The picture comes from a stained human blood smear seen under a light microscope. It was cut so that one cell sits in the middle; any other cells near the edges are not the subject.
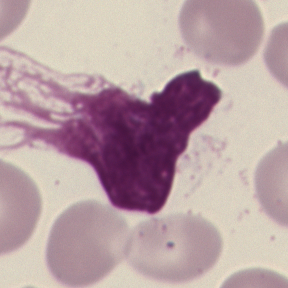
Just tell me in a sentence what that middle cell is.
In this crop, the cell at the very middle is a smudge cell.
